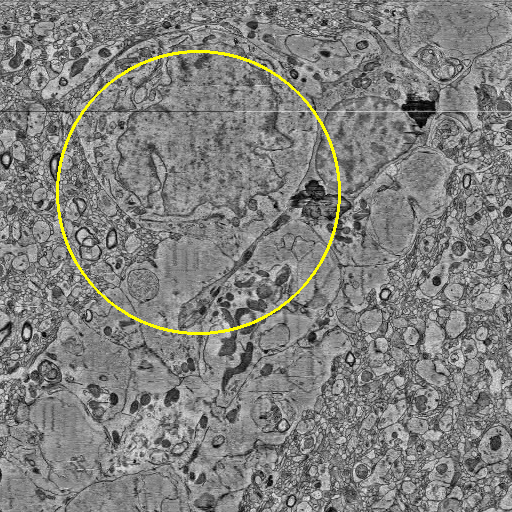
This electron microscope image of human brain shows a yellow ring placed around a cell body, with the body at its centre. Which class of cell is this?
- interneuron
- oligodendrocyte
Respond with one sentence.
The cell body at the ring's centre is an interneuron.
